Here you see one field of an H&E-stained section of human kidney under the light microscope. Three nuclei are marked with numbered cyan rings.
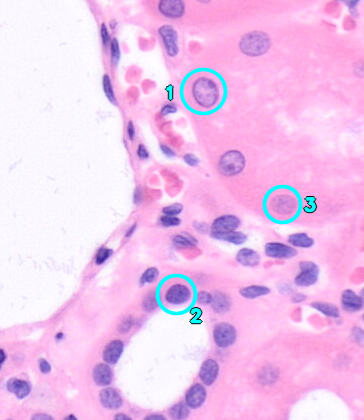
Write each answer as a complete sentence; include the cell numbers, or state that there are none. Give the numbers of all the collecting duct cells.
In this set of numbered cells, only cell 2 is a collecting duct cell.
